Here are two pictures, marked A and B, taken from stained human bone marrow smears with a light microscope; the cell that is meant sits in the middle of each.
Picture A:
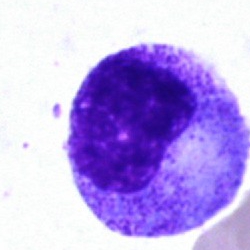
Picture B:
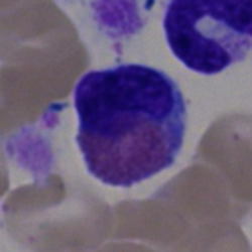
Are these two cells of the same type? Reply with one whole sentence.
No, the types are not the same, since picture A shows a metamyelocyte and picture B an eosinophil.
